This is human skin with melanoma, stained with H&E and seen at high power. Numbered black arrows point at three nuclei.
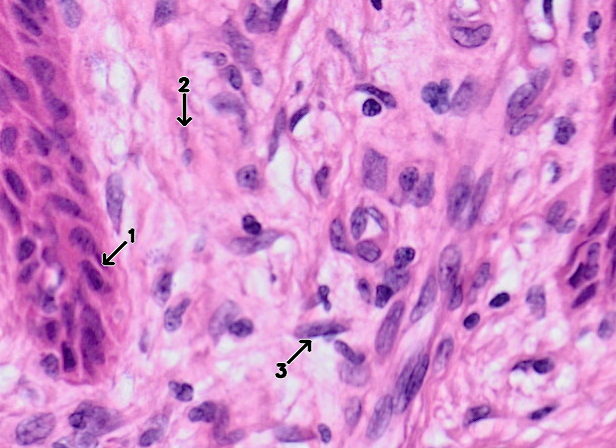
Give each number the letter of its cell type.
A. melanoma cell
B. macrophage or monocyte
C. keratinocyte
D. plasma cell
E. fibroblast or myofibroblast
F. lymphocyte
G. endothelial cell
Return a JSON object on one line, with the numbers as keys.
{"1": "C", "2": "E", "3": "E"}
